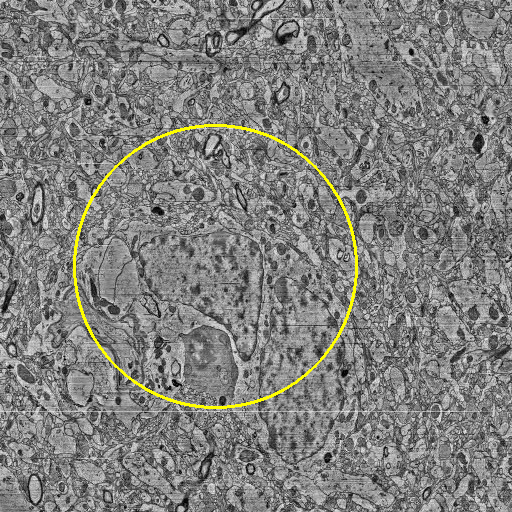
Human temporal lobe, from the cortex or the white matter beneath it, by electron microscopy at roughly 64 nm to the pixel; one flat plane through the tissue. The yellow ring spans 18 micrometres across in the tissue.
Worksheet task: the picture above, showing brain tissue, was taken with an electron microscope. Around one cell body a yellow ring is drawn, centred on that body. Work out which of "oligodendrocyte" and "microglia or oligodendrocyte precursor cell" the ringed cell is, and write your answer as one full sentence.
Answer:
It is a microglial cell or oligodendrocyte precursor cell whose cell body lies at the centre of the yellow ring.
